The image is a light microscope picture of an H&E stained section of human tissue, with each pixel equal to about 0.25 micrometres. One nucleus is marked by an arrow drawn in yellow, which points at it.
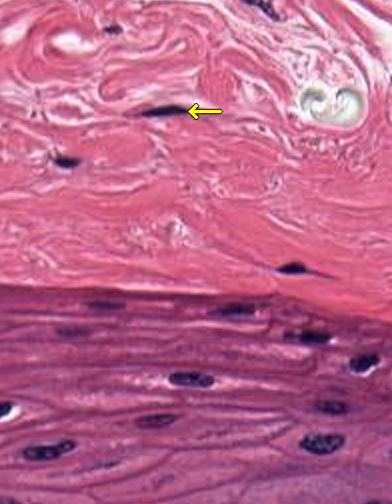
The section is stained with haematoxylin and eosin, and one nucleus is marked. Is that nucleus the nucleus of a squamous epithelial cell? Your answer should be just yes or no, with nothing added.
no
